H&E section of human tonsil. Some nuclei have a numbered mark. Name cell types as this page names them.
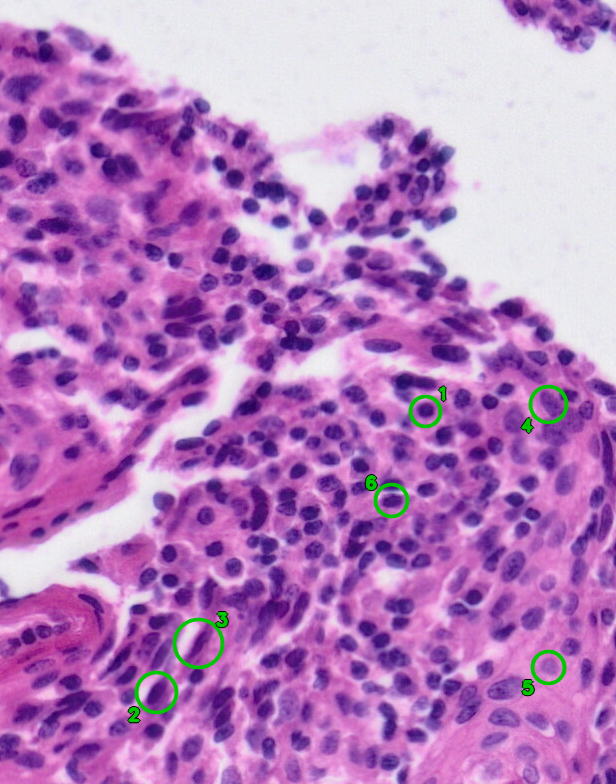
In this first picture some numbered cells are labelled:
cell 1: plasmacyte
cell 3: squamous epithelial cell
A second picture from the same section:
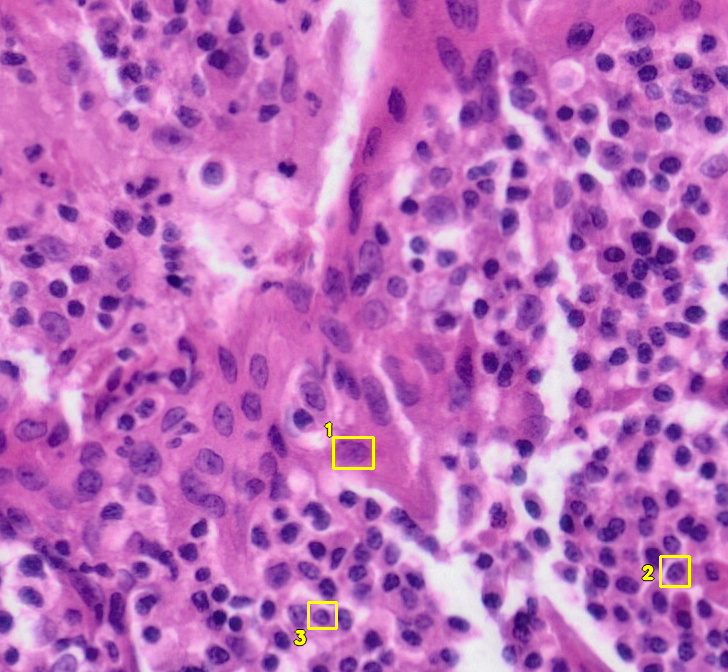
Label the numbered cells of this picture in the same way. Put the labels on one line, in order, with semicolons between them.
squamous epithelial cell; plasmacyte; plasmacyte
